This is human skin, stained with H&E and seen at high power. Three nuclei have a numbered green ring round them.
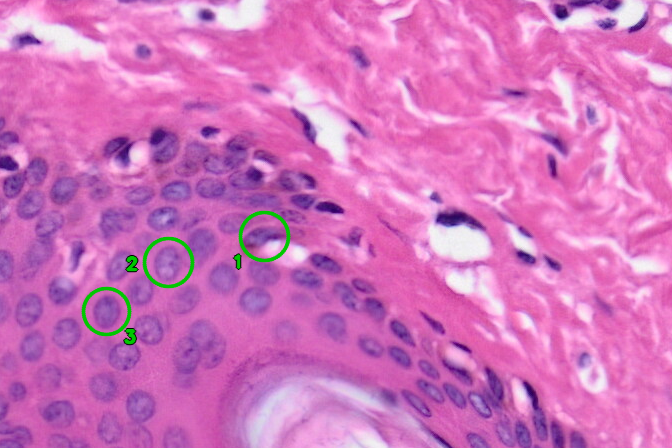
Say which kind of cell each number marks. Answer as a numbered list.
1. basal keratinocyte
2. suprabasal keratinocyte
3. suprabasal keratinocyte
